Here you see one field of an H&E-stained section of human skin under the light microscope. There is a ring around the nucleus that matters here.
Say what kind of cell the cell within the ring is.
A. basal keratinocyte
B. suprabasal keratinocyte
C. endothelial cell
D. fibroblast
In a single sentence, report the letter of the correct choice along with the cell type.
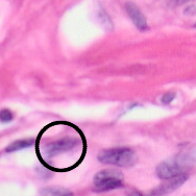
In this case the cell within the ring is an endothelial cell, so option C is correct.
